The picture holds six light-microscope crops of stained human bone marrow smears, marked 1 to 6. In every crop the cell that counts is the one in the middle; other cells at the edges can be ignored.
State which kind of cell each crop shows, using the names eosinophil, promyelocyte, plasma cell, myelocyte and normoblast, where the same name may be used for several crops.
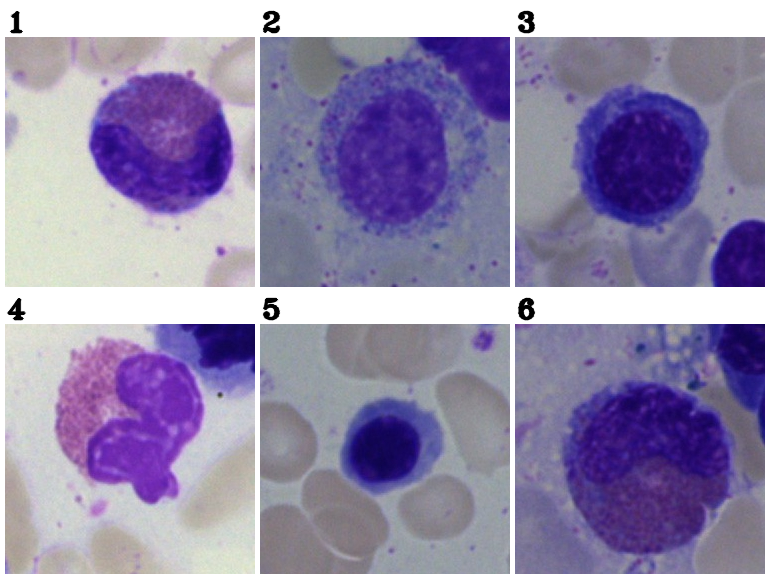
1: eosinophil
2: myelocyte
3: normoblast
4: eosinophil
5: normoblast
6: eosinophil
